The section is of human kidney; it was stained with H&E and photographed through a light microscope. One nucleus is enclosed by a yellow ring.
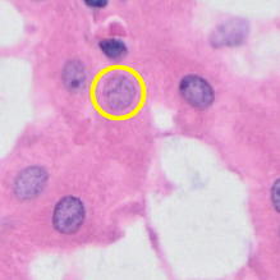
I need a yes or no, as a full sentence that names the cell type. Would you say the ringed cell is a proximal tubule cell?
Yes, the claim that the ringed cell is a proximal tubule cell holds true.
